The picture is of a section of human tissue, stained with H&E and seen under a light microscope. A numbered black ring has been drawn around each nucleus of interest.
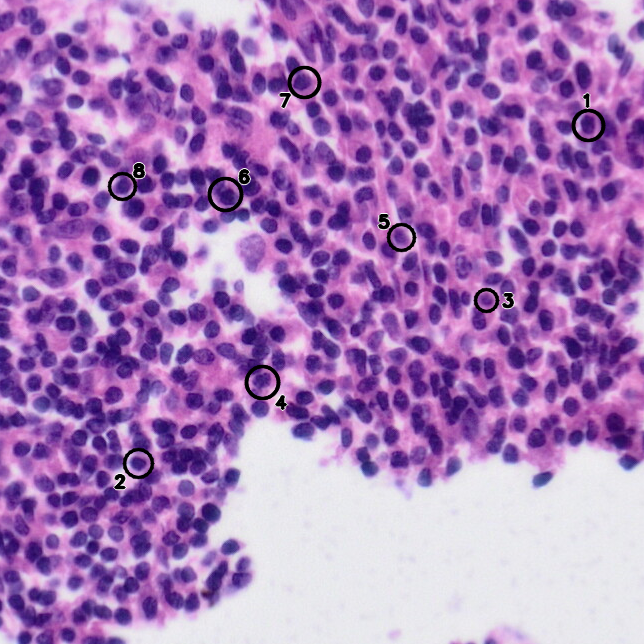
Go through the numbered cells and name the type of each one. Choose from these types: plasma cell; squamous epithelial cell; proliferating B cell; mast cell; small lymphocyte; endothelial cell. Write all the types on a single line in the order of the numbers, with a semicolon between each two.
plasma cell; small lymphocyte; plasma cell; small lymphocyte; plasma cell; small lymphocyte; plasma cell; small lymphocyte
